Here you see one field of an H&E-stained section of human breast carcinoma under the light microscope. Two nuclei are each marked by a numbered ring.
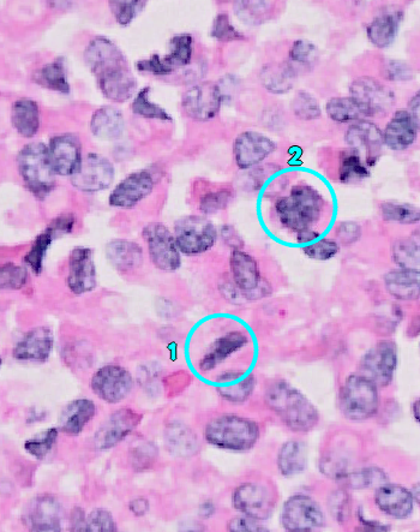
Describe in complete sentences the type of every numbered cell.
Cell 1 is an endothelial cell and cell 2 is a carcinoma cell.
